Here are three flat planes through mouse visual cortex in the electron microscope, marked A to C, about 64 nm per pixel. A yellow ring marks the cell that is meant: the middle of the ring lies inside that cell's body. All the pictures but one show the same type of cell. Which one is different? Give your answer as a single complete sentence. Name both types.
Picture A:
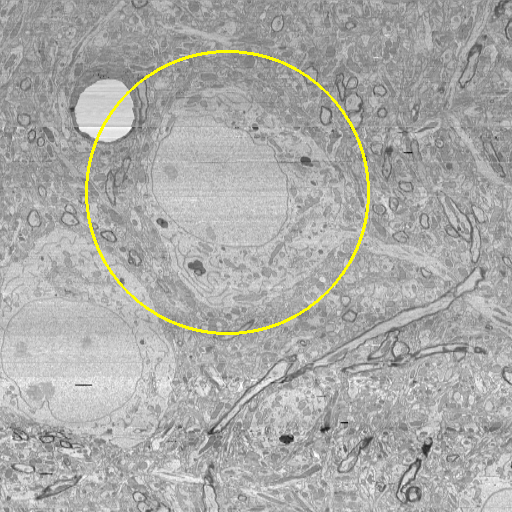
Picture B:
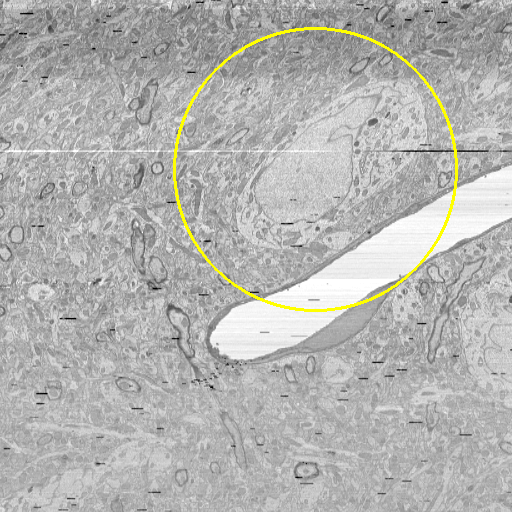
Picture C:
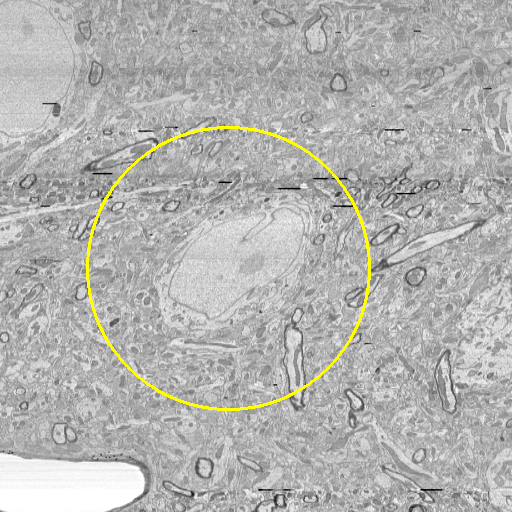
Unlike the rest, which show inhibitory neurons, picture A shows an excitatory neuron.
